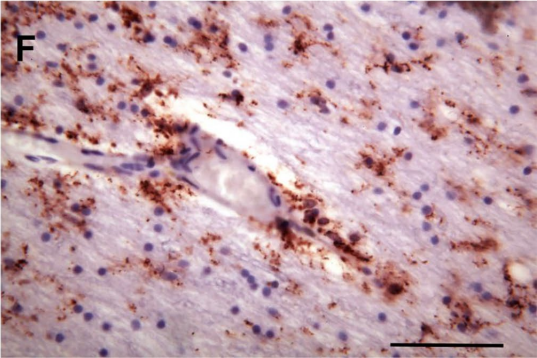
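The background is pale and faintly streaked, with many small round blue nuclei lying in loose rows. A vessel crosses the centre obliquely, and brown-stained cells are gathered densely along it. The vessel wall shows elongated blue nuclei.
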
